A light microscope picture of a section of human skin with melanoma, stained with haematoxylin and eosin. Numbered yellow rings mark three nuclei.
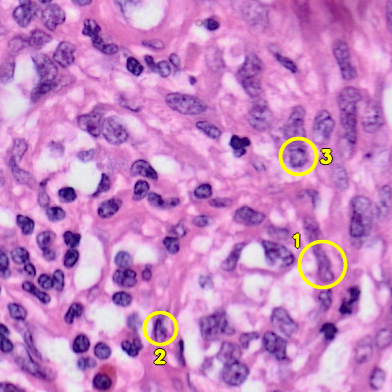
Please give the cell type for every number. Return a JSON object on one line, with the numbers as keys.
{"1": "melanoma cell", "2": "endothelial cell", "3": "melanoma cell"}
